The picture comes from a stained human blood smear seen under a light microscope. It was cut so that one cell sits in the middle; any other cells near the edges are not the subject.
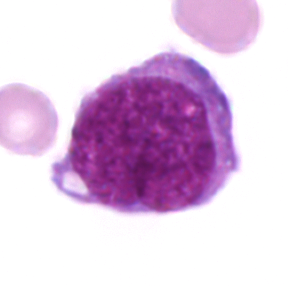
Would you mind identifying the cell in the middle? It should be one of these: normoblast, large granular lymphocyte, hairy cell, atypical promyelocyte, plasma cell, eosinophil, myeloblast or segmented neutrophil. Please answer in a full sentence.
In short, the cell at the center is an atypical promyelocyte.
